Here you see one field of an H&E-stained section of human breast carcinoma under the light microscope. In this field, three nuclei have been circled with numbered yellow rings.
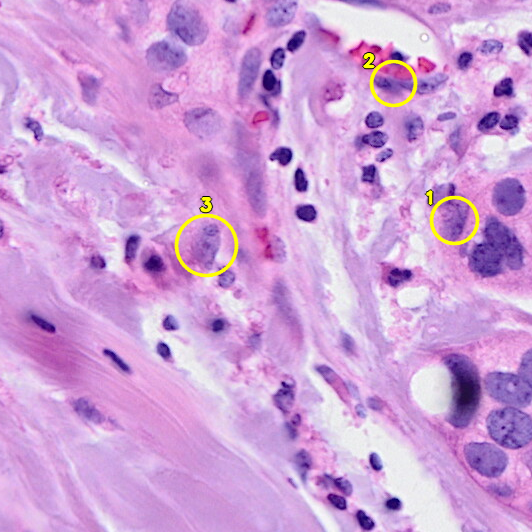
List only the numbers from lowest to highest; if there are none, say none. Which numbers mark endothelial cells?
2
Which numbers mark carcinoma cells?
1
